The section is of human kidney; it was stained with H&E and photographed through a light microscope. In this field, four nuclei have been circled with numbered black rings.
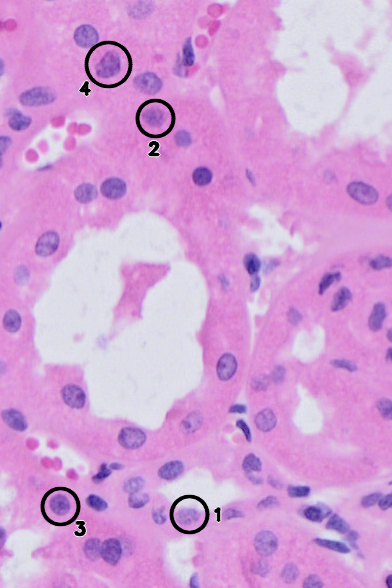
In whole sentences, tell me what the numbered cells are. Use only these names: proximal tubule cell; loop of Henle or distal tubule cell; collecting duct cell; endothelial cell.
Cell 1 is a collecting duct cell, cell 2 is a proximal tubule cell, cell 3 is a proximal tubule cell and cell 4 is a proximal tubule cell.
